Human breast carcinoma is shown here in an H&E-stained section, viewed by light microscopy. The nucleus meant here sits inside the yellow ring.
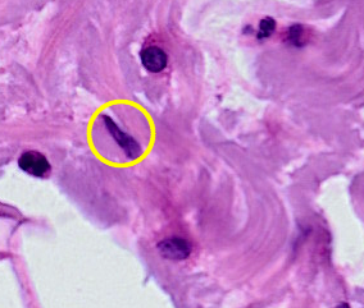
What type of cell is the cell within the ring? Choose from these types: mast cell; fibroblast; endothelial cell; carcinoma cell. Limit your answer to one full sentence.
Recorded by type, the cell within the ring is a fibroblast.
